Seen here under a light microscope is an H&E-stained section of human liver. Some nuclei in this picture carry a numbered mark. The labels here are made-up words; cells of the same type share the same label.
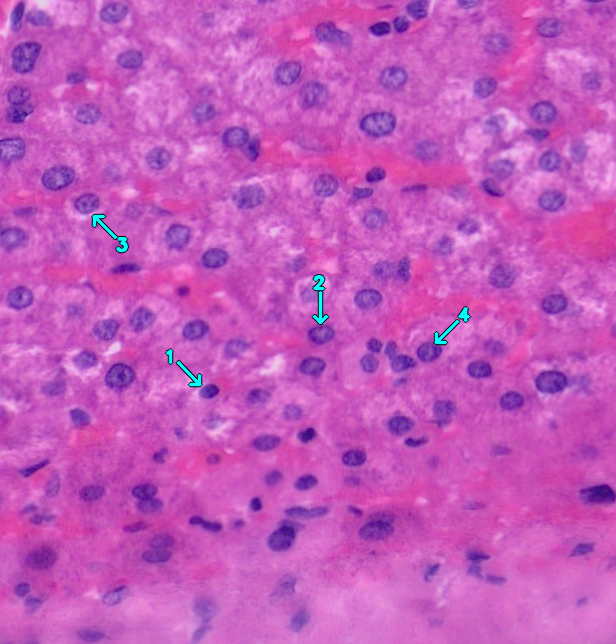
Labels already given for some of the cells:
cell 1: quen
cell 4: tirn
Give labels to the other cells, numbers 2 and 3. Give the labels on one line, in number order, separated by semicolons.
tirn; tirn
